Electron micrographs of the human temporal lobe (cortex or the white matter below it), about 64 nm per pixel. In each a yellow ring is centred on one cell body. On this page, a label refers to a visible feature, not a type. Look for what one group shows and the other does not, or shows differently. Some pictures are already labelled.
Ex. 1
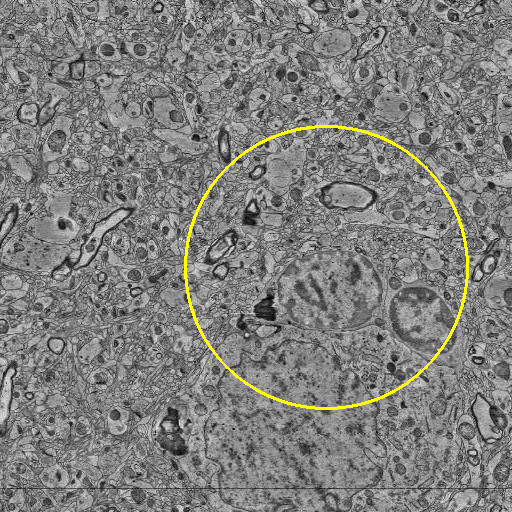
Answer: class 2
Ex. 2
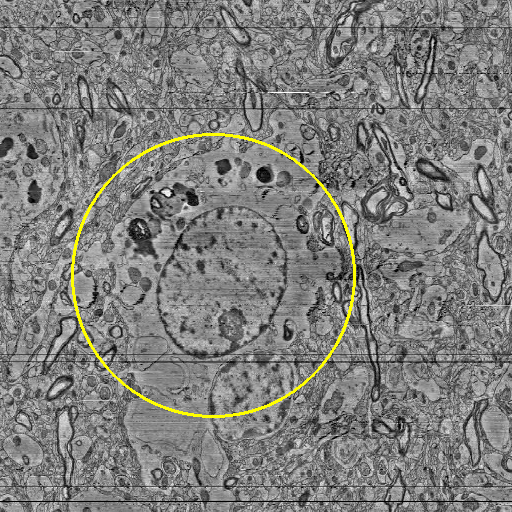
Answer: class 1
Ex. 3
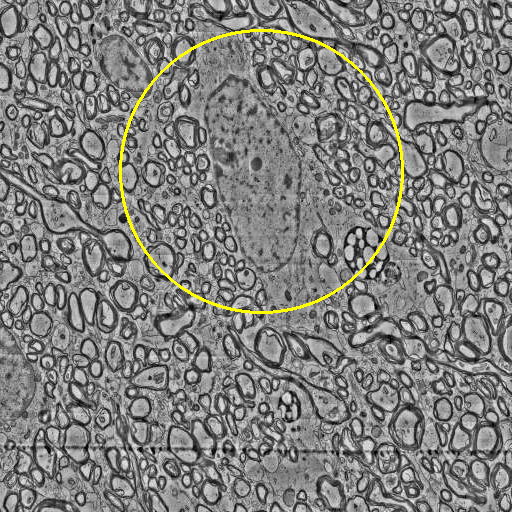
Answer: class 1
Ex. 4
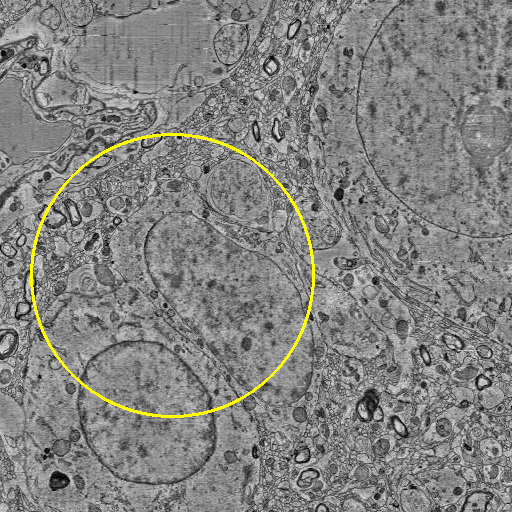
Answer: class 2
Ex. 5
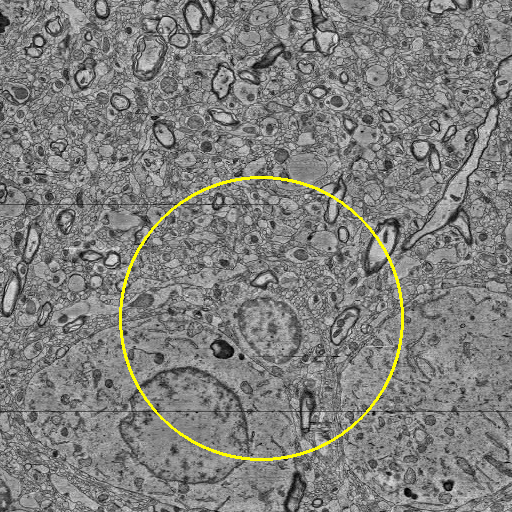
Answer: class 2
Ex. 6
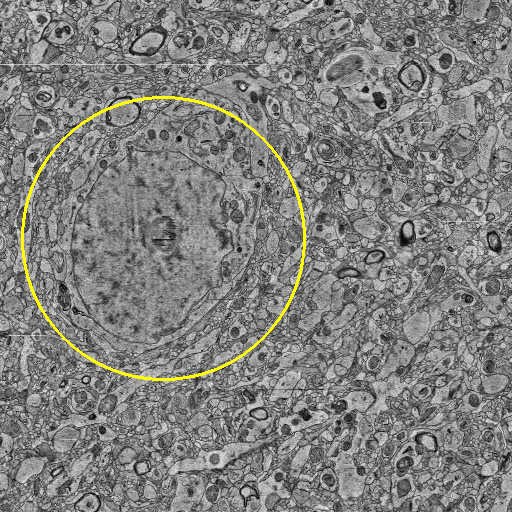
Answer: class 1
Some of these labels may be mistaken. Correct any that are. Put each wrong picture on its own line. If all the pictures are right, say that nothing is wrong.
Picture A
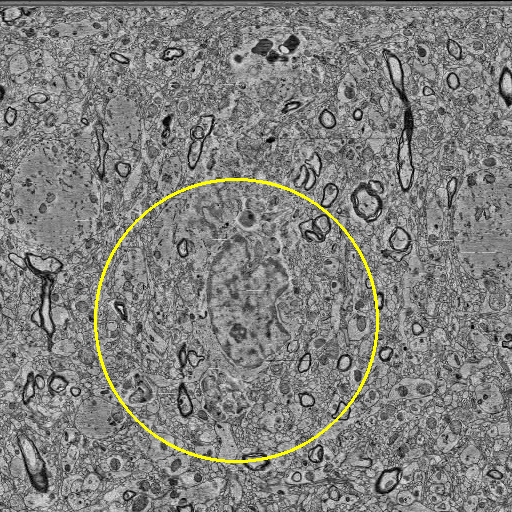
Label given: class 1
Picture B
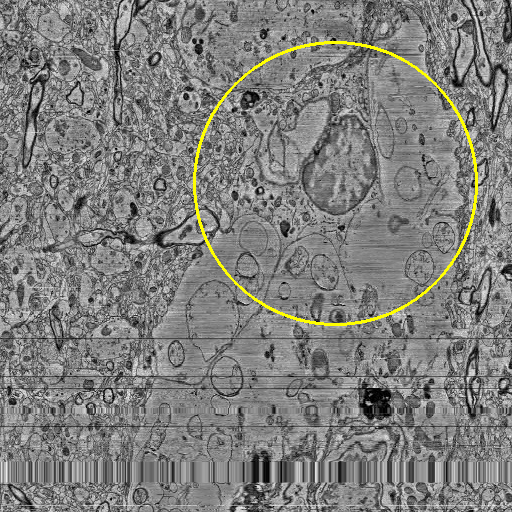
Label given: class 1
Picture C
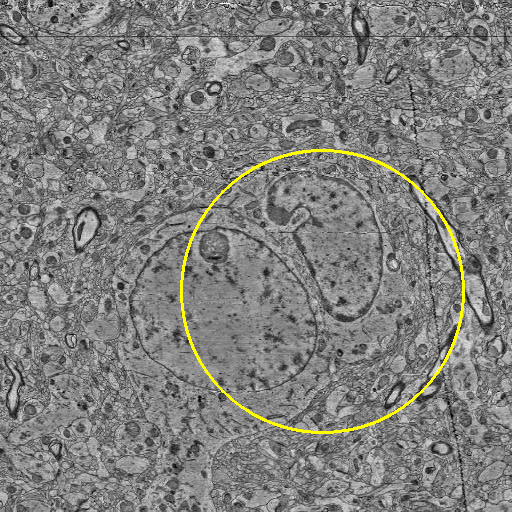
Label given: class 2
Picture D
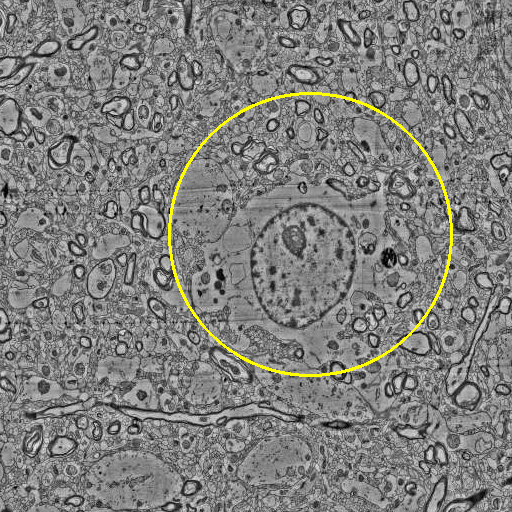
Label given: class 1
B is labelled class 1; correct label: class 2
C is labelled class 2; correct label: class 1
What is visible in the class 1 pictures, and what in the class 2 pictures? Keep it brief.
Seen in class 1: nucleolus seen; seen in class 2: no nucleolus seen.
